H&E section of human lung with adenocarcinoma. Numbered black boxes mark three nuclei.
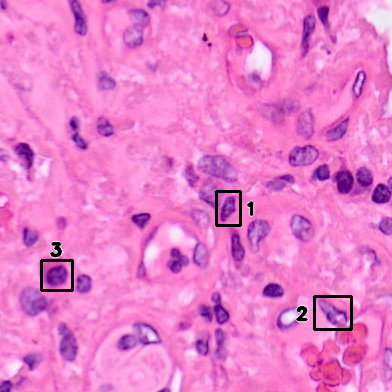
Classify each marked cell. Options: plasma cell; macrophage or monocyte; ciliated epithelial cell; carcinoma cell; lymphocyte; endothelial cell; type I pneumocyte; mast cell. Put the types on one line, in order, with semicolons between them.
mast cell; endothelial cell; plasma cell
